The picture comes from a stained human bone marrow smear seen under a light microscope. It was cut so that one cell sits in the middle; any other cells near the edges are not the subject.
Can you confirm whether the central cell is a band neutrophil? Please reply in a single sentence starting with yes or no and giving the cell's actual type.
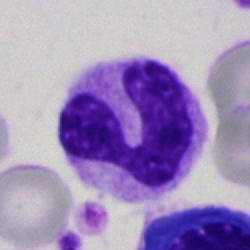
Yes, the cell in the middle is a band neutrophil.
